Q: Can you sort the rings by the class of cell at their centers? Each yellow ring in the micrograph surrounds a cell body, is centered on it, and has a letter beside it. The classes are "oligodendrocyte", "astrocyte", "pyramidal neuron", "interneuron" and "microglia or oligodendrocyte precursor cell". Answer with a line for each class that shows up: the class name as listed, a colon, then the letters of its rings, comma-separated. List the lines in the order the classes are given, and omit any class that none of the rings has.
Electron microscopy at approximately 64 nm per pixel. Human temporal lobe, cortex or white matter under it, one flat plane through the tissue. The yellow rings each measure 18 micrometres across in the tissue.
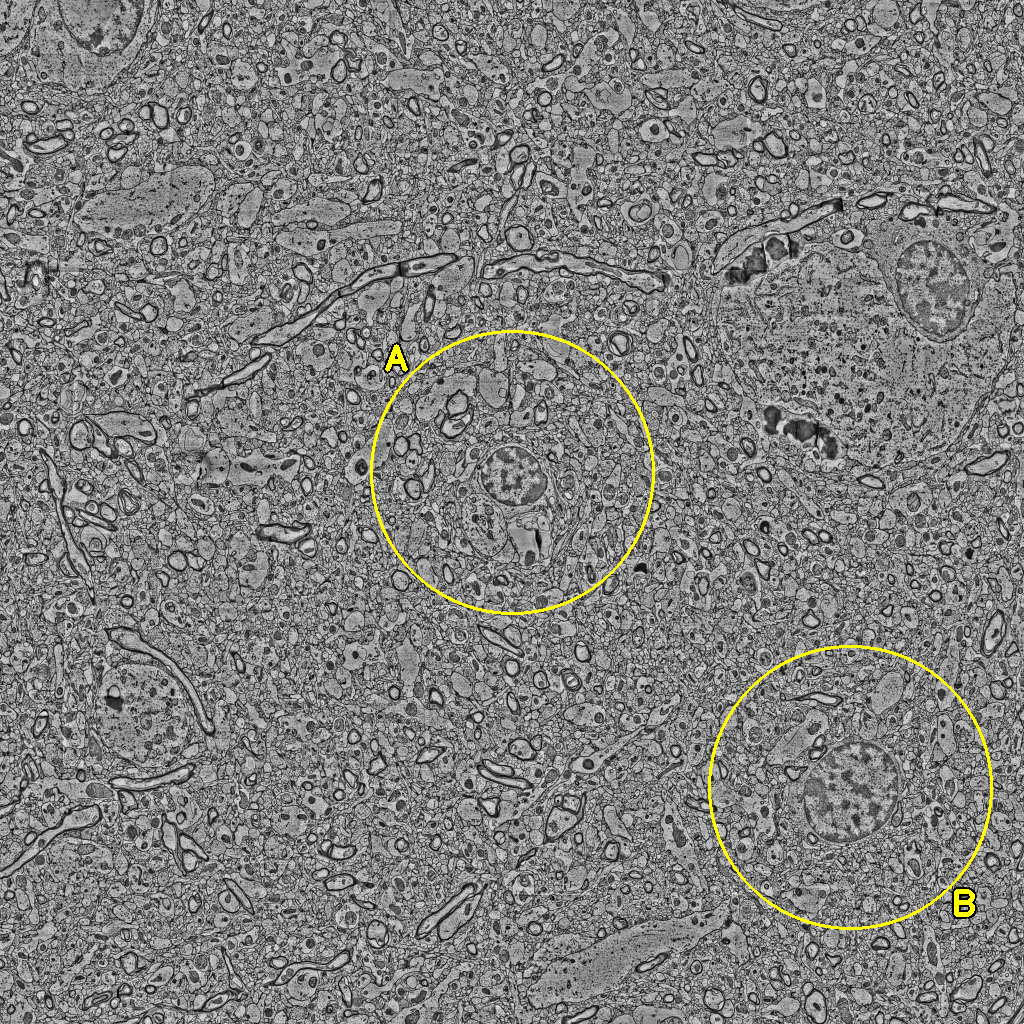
oligodendrocyte: B
microglia or oligodendrocyte precursor cell: A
